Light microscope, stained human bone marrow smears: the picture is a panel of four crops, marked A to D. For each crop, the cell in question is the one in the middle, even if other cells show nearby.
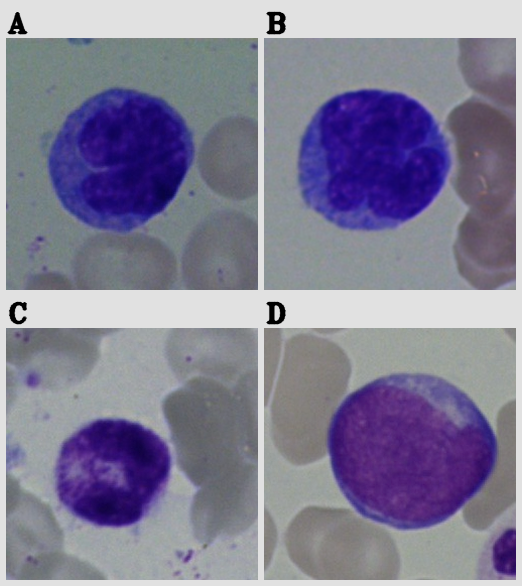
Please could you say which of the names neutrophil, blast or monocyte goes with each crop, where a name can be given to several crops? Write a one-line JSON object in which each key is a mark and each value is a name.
{"A": "monocyte", "B": "monocyte", "C": "neutrophil", "D": "blast"}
